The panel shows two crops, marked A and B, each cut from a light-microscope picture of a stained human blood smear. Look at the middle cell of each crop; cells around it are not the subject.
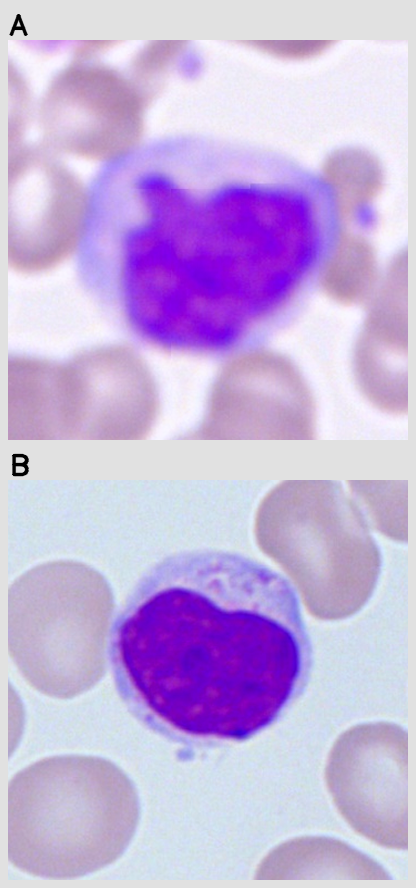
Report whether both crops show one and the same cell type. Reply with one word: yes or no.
no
